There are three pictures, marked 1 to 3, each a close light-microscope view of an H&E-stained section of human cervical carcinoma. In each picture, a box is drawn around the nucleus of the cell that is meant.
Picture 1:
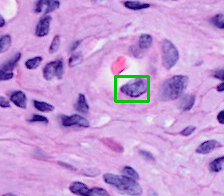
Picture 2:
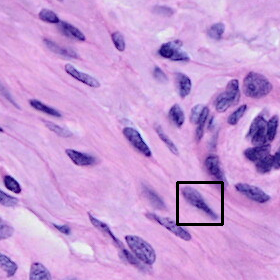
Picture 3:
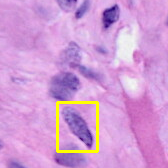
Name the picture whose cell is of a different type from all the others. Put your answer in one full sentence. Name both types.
Picture 1 differs, because its cell is an endothelial cell and the rest are fibroblasts.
